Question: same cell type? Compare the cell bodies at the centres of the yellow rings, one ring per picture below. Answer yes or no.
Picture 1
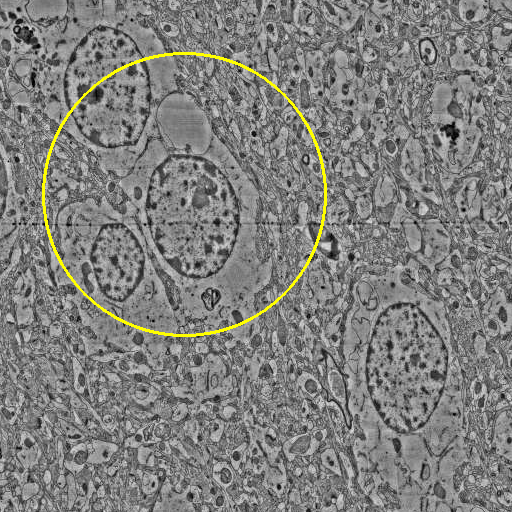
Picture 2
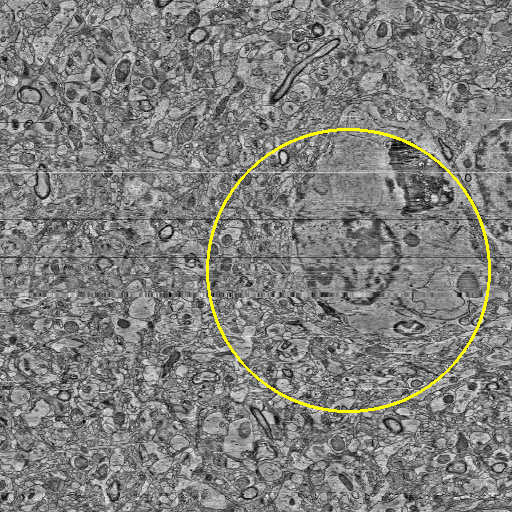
yes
